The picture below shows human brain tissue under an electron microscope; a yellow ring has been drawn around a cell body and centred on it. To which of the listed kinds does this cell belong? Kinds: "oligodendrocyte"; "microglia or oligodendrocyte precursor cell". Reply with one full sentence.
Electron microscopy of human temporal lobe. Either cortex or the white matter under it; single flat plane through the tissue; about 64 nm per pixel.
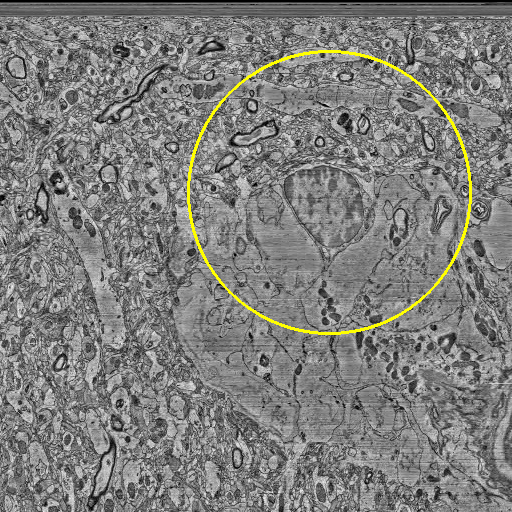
It is a microglial cell or oligodendrocyte precursor cell that the yellow ring in the picture is centred on.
